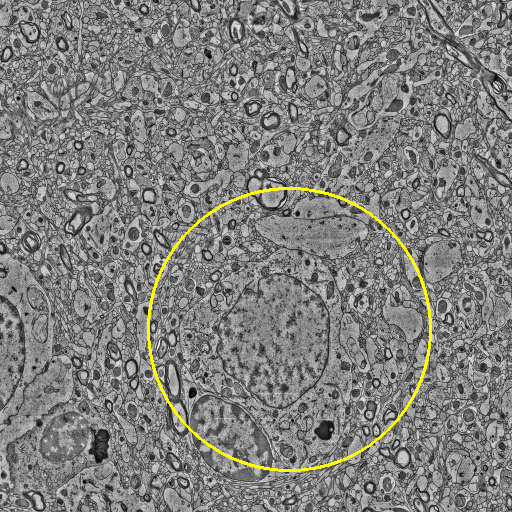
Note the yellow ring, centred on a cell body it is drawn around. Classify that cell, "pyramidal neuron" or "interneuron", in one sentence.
The cell the ring is centred on is a pyramidal neuron.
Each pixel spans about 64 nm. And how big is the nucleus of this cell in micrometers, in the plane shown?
In this plane the nucleus spans approximately 9 by 7 micrometers.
